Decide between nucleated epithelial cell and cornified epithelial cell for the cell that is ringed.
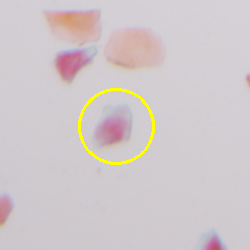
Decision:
I take the ringed cell for a nucleated epithelial cell.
